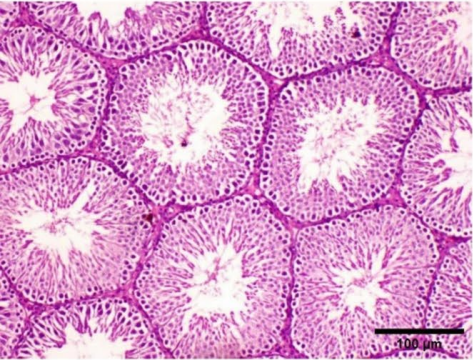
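Testis with closely packed seminiferous tubules separated by thin interstitial septa. Each tubule is lined by a thick, many-layered epithelium of spermatogenic cells with dark round nuclei, arranged from the basement membrane toward the lumen.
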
